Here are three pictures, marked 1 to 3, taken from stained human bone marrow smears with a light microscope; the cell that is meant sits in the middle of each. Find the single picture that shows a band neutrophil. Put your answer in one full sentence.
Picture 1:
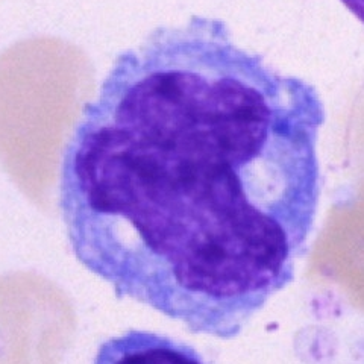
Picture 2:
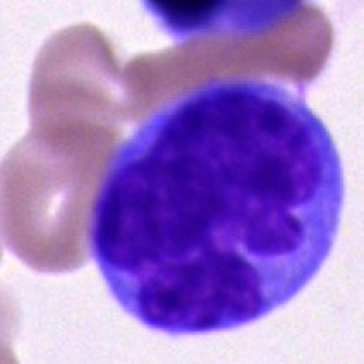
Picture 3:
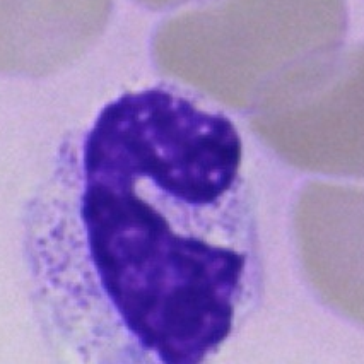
It is picture 3 that shows the band neutrophil.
